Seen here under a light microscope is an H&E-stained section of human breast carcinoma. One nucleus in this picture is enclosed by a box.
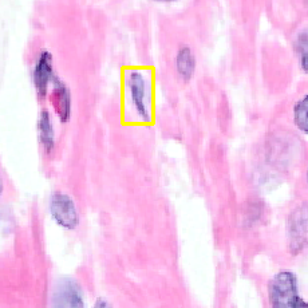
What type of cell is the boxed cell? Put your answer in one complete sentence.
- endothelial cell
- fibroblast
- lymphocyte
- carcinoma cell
What the boxed cell represents is a fibroblast.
